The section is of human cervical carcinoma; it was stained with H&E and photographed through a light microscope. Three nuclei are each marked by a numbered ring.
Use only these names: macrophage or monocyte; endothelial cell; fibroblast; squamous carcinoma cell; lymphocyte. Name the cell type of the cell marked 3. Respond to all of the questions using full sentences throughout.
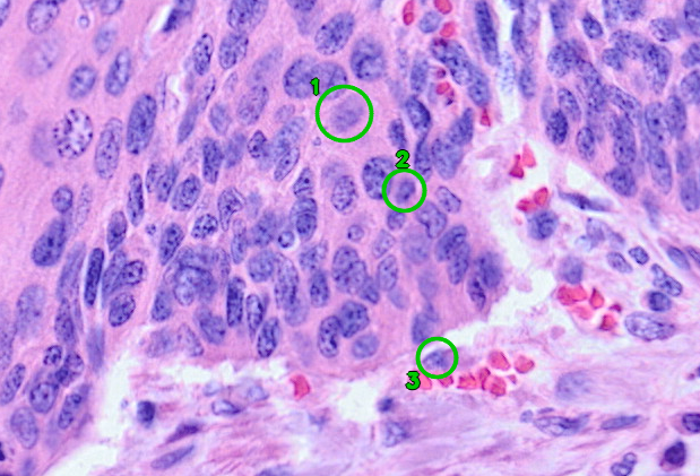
The nucleus with number 3 is that of an endothelial cell.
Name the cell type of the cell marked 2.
Number 2 is placed on a squamous carcinoma cell here.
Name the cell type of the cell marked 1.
Corresponding to a squamous carcinoma cell is the cell labelled 1.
